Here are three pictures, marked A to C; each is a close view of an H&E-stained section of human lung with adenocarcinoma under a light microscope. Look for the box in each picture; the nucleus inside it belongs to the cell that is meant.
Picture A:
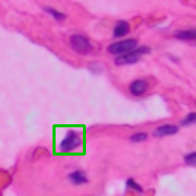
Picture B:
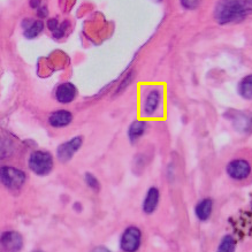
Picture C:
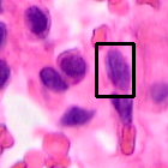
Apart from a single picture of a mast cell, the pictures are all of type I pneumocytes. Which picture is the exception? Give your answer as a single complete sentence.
The cell in picture B is the mast cell.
